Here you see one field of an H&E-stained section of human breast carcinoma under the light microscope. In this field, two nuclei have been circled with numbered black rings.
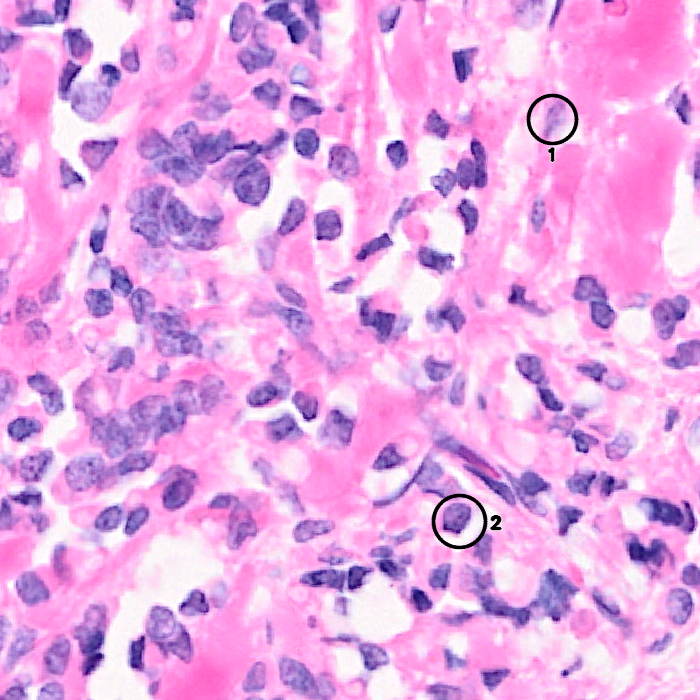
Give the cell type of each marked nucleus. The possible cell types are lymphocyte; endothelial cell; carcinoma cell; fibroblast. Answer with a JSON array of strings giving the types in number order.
["fibroblast", "carcinoma cell"]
